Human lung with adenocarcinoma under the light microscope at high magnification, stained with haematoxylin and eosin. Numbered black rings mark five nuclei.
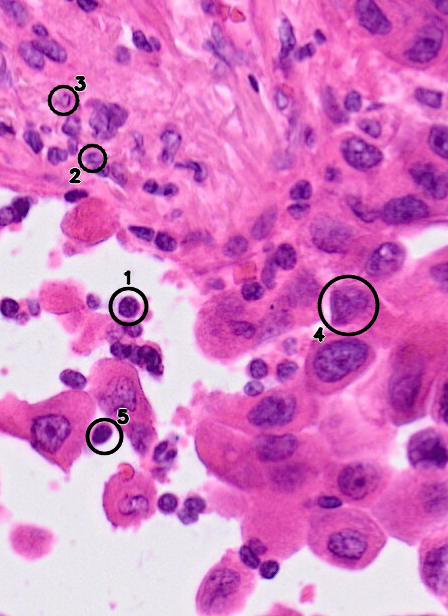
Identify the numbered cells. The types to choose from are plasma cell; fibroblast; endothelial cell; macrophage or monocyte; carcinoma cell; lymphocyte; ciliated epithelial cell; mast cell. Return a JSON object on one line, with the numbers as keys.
{"1": "lymphocyte", "2": "lymphocyte", "3": "plasma cell", "4": "carcinoma cell", "5": "lymphocyte"}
